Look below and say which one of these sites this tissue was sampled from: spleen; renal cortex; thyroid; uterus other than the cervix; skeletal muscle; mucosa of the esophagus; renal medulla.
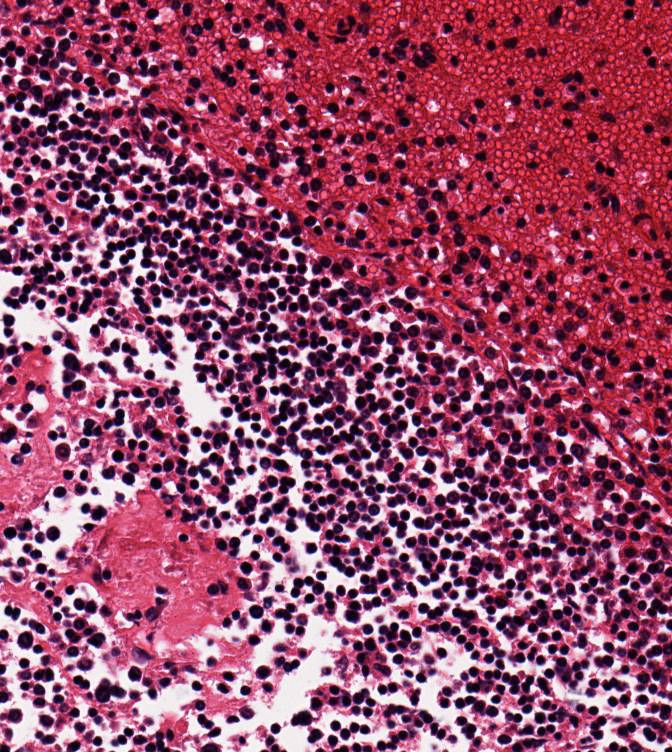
spleen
